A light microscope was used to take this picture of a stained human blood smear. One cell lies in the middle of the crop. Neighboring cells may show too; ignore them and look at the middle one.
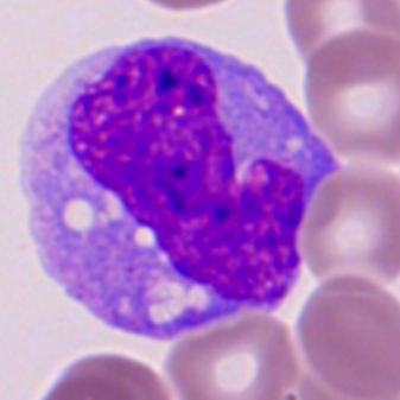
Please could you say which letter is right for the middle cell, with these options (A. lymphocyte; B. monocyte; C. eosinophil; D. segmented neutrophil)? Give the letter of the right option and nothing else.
B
